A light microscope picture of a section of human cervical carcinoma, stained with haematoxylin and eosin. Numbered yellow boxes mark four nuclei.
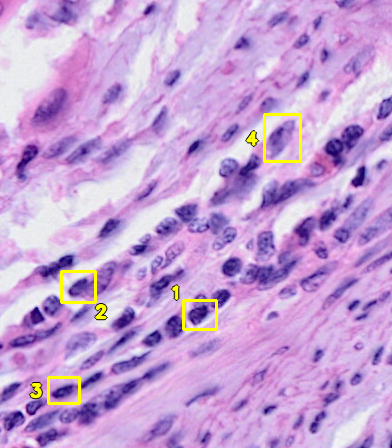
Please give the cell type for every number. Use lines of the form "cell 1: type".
cell 1: lymphocyte
cell 2: lymphocyte
cell 3: lymphocyte
cell 4: macrophage or monocyte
